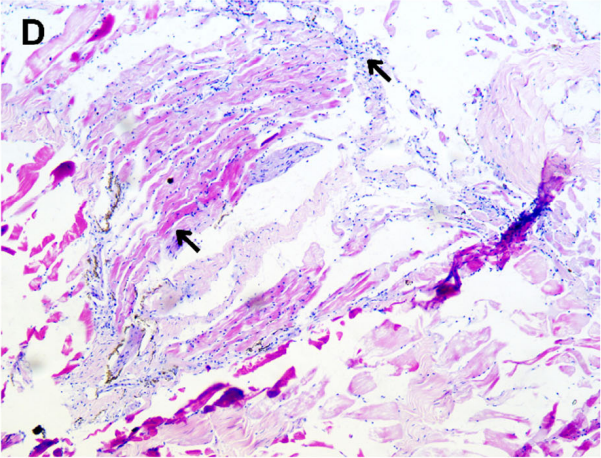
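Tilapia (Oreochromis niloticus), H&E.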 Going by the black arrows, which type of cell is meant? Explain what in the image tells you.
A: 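Scattered small dark blue round nuclei lie among pale pink muscle fibres.
Mononuclear inflammatory cells.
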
